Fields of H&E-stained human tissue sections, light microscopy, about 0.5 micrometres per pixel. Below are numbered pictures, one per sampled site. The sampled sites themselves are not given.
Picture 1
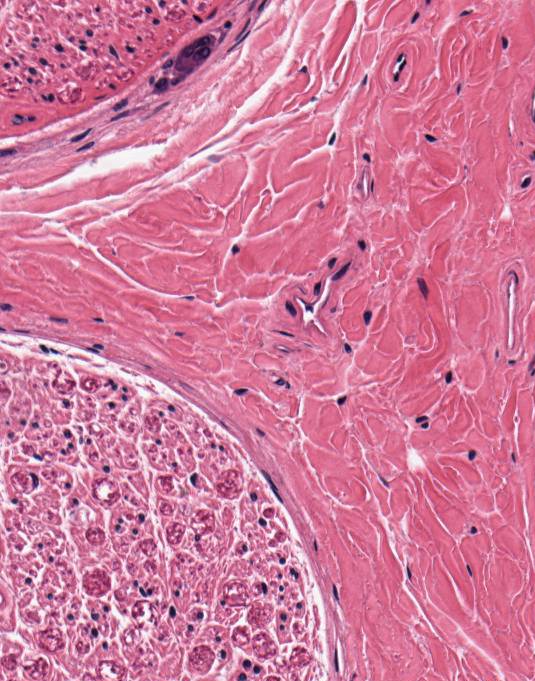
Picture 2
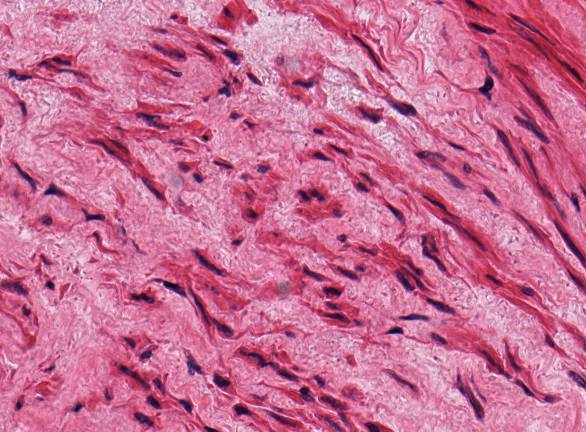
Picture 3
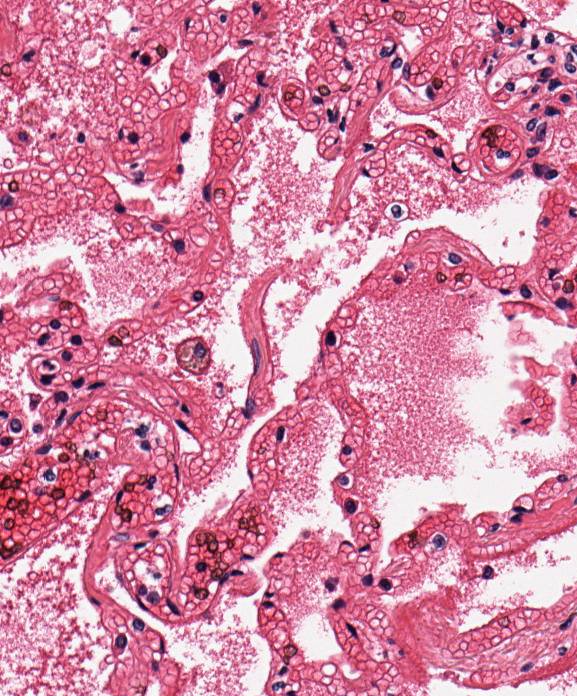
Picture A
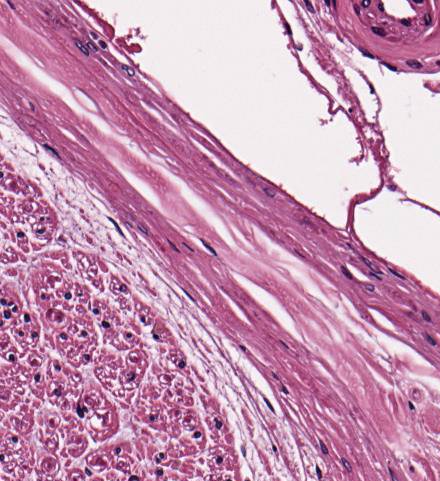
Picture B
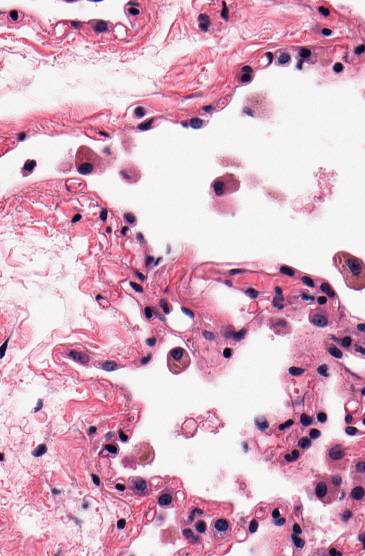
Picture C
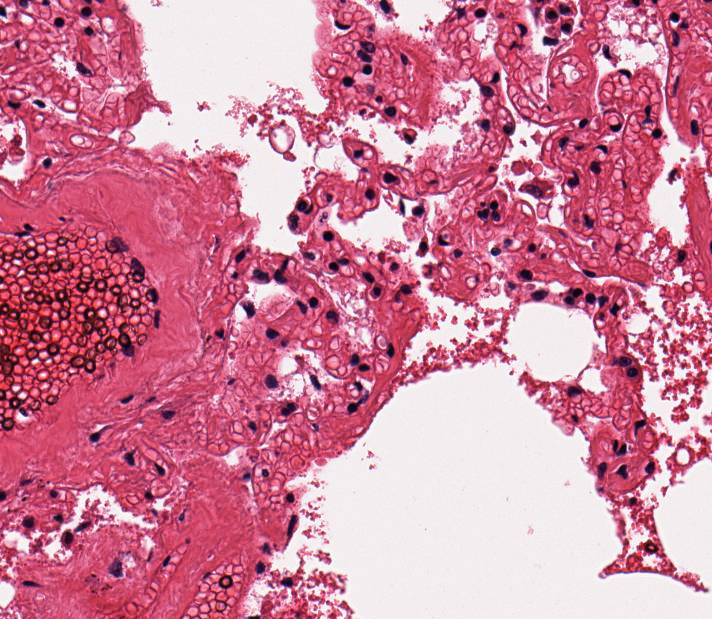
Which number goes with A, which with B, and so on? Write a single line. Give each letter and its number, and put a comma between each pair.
A 1, B 3, C 3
